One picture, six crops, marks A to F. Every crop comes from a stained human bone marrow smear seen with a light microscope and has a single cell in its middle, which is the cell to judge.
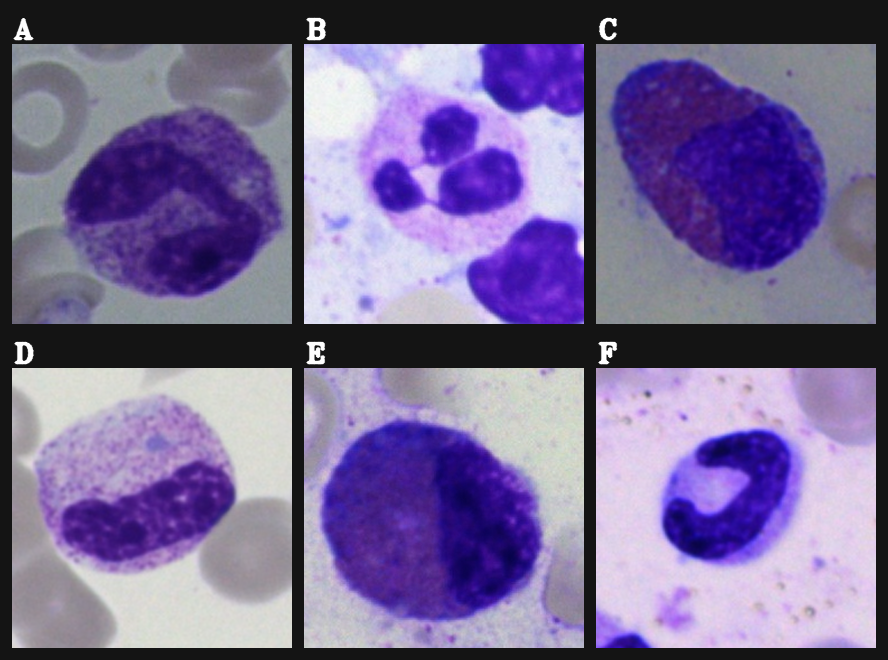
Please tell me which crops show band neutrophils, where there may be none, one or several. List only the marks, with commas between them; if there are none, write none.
D, F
